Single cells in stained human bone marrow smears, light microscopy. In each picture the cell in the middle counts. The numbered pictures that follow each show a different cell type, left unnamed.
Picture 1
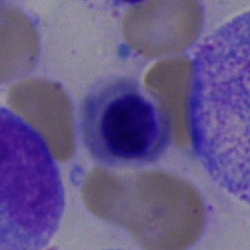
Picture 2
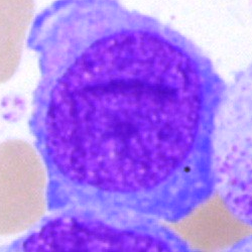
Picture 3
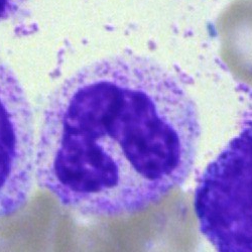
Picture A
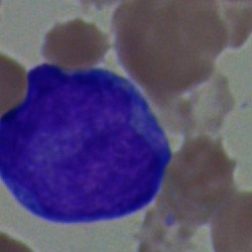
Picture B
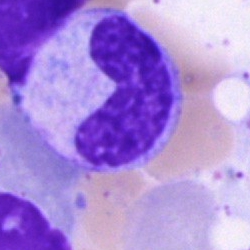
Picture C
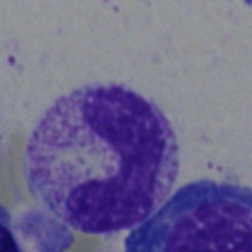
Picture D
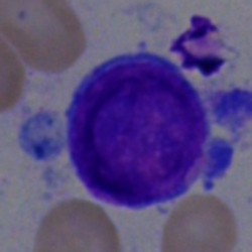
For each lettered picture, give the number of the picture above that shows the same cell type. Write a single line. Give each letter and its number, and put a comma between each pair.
A 2, B 3, C 3, D 2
